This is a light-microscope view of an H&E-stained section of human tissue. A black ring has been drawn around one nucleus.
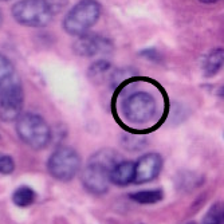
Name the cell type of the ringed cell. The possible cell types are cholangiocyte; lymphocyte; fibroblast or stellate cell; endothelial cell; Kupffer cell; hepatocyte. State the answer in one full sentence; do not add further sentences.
Considered by cell type, the ringed cell is a cholangiocyte.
